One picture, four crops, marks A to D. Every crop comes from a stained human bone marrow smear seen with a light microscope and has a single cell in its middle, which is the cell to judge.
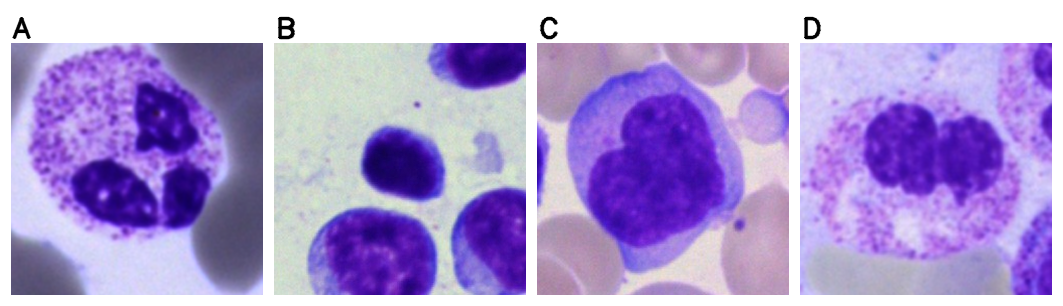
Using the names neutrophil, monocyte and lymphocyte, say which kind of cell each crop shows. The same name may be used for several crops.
A: neutrophil
B: lymphocyte
C: monocyte
D: neutrophil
